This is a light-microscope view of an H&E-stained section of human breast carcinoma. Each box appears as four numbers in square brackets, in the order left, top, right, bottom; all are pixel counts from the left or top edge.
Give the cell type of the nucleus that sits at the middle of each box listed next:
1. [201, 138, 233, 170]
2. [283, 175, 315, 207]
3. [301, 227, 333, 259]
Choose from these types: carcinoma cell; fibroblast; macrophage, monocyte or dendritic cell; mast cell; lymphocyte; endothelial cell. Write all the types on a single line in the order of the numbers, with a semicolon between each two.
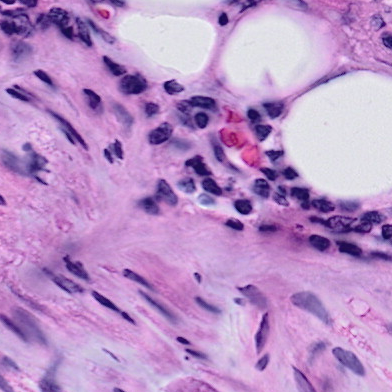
endothelial cell; lymphocyte; lymphocyte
